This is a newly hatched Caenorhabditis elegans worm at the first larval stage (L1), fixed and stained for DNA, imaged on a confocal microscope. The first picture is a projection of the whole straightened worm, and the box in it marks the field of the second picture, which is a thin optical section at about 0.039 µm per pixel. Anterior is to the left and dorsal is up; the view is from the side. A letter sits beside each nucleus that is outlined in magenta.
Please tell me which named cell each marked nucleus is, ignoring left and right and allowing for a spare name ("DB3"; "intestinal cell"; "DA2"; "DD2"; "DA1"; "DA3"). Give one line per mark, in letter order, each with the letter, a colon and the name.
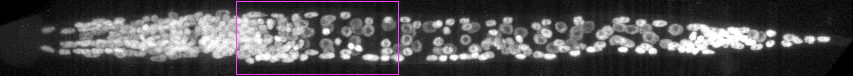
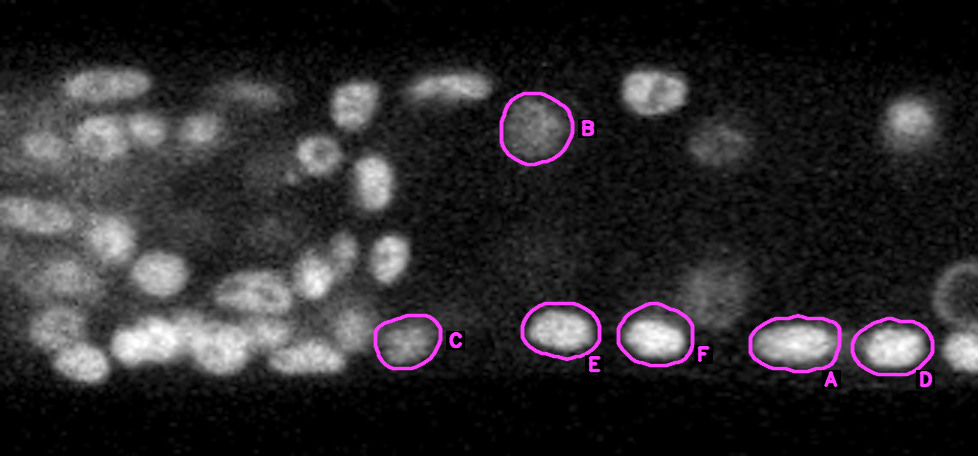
A: DD2
B: intestinal cell
C: DA1
D: DA3
E: DB3
F: DA2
